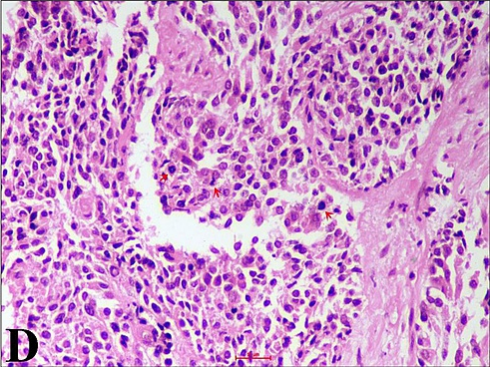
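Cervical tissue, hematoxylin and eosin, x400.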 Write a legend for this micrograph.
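Tumor tissue made of sheets and nests of monomorphic small, round tumor cells set against pale pink fibrous stroma. The cells are crowded and fairly uniform. Their nuclei are round to oval and deeply purple, or hyperchromatic. Cleft-like spaces separate some groups of cells. Strands of eosinophilic stroma with elongated spindle nuclei cross between the nests.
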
